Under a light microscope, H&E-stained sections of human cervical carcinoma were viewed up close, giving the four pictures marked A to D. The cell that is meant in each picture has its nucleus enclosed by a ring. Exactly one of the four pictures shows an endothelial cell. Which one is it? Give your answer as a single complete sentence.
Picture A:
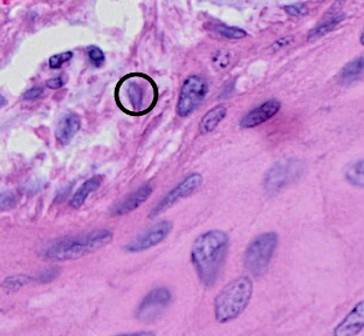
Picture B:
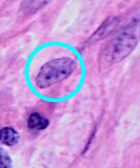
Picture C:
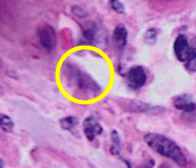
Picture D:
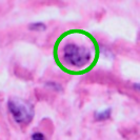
The endothelial cell is the one in picture C.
